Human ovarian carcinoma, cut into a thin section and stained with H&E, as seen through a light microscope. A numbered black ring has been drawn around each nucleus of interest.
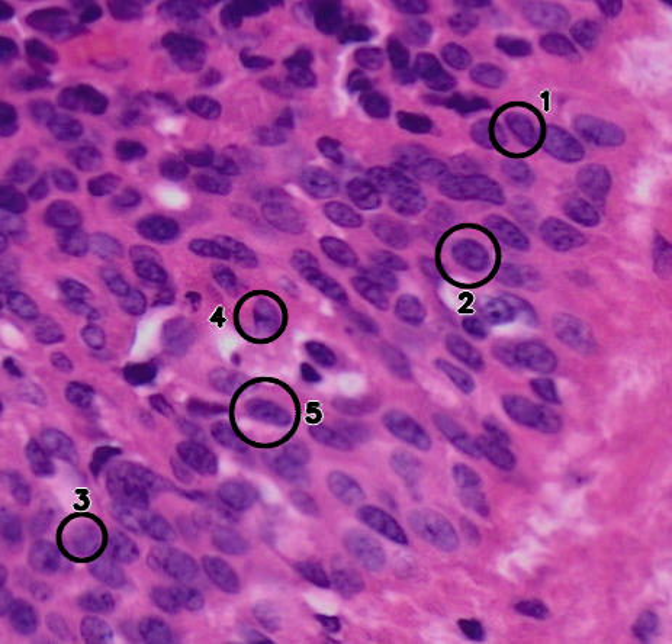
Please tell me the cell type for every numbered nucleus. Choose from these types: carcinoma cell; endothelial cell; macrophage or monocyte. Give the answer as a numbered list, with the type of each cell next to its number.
1. carcinoma cell
2. carcinoma cell
3. carcinoma cell
4. endothelial cell
5. macrophage or monocyte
